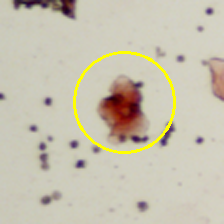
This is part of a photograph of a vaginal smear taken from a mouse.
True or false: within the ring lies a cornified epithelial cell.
True: a cornified epithelial cell lies within the ring.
